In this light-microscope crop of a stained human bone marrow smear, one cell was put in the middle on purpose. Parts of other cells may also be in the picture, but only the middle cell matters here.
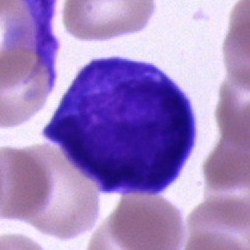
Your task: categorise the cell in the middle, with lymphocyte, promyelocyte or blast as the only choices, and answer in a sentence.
This crop's central cell is a blast.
